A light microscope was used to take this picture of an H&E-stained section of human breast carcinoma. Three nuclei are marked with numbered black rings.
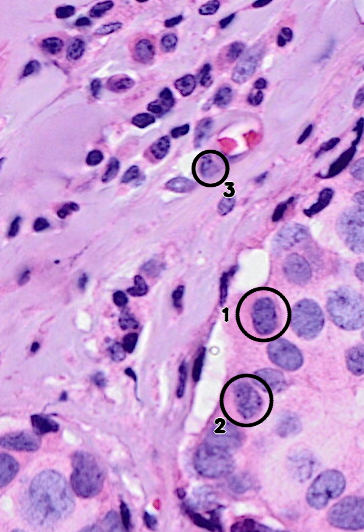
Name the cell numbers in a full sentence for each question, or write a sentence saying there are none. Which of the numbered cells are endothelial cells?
Among the marked cells, an endothelial cell is found only at number 3.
